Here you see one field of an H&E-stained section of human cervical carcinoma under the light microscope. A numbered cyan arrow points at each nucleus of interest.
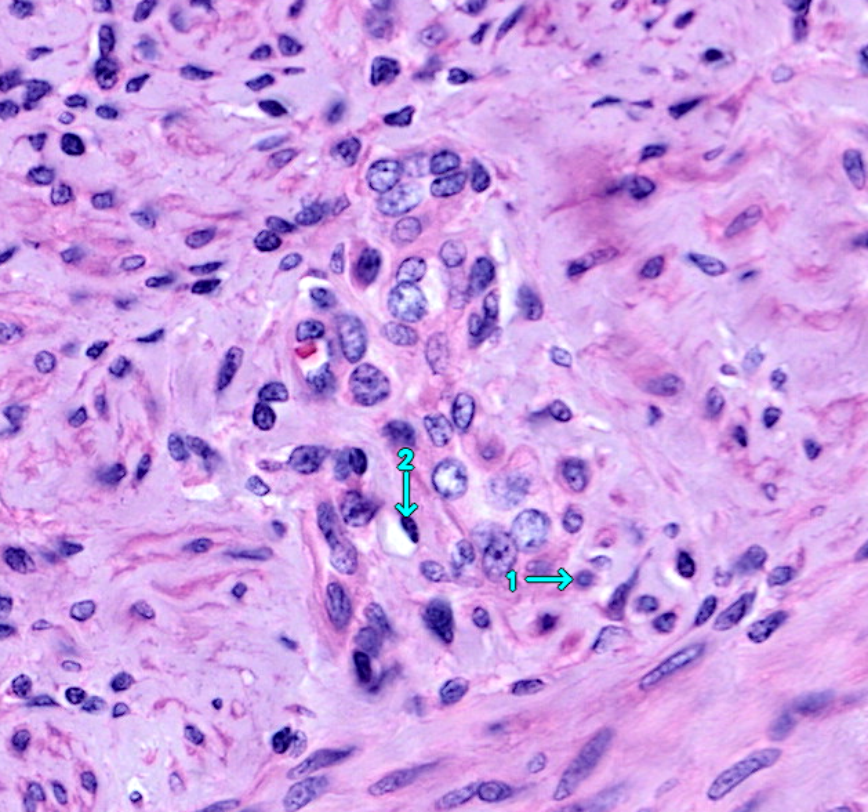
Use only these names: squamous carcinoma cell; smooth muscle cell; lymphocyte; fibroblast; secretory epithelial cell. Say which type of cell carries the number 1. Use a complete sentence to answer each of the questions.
Cell 1 of the marked set is a smooth muscle cell.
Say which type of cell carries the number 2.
The numbered cell 2 is identified here as a lymphocyte.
